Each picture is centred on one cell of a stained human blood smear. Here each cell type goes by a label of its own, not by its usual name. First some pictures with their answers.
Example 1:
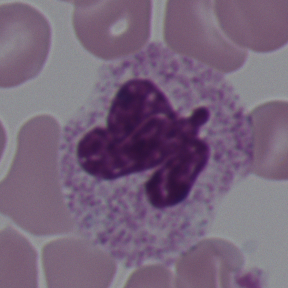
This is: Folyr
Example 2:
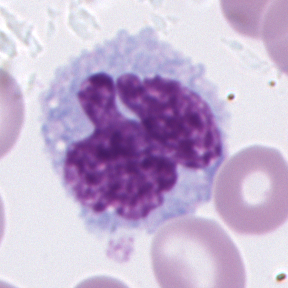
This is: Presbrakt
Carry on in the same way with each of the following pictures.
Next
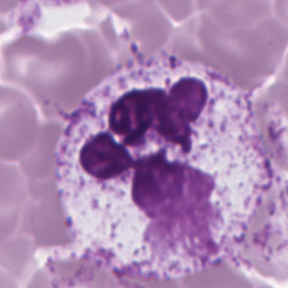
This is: Folyr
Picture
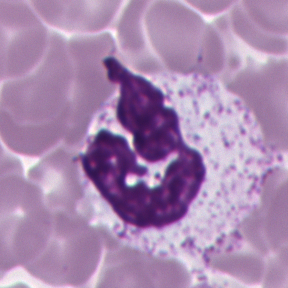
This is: Folyr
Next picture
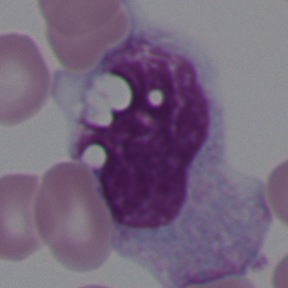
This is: Presbrakt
